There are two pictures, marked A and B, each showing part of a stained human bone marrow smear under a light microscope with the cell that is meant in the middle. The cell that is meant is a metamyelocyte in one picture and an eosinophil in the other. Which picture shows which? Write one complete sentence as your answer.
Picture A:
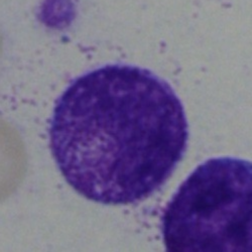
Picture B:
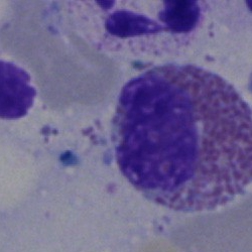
Picture A shows a metamyelocyte and picture B shows an eosinophil.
